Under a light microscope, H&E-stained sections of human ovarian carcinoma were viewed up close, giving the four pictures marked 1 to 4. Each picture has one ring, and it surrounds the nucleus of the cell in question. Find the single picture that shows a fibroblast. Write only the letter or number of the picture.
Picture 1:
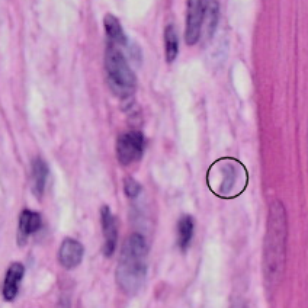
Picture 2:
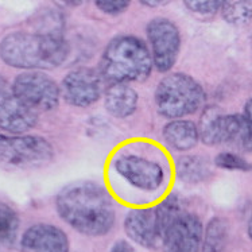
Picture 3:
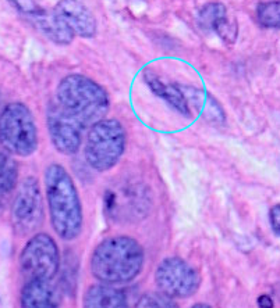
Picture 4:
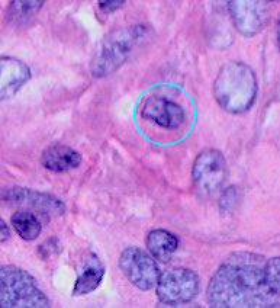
3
